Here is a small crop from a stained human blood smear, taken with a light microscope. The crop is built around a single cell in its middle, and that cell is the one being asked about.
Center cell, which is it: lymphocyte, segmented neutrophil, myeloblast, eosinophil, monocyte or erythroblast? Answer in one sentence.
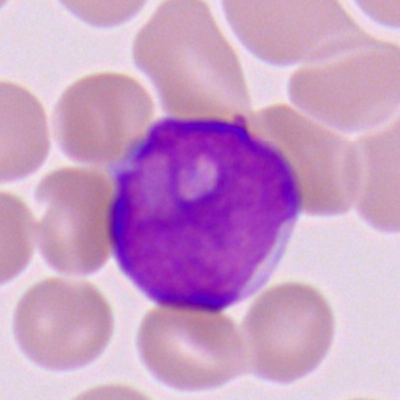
The middle cell in this particular crop is a myeloblast.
